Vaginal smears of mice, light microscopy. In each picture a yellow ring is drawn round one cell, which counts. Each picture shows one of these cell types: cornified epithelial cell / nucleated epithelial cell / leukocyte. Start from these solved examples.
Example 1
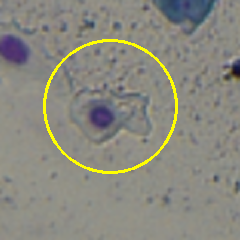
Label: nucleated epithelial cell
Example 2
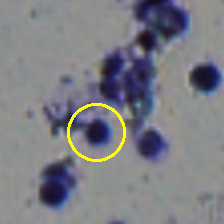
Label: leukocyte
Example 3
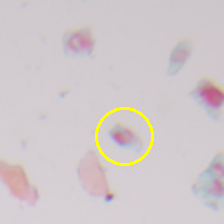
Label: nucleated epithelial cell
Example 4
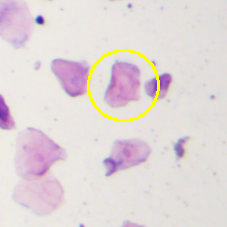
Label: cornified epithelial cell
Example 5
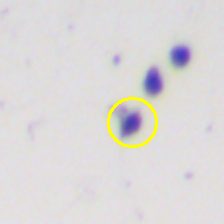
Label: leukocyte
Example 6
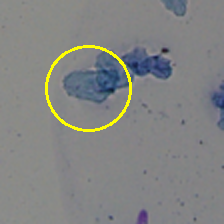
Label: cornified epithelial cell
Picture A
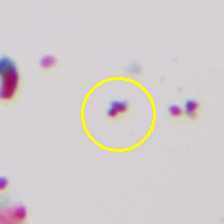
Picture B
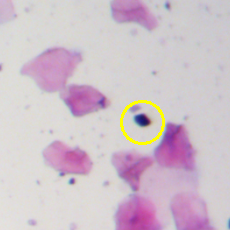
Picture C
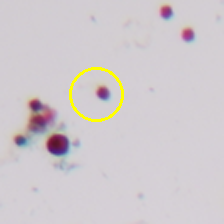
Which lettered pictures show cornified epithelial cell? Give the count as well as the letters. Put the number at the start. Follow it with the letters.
0, none of them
